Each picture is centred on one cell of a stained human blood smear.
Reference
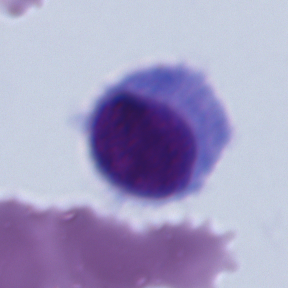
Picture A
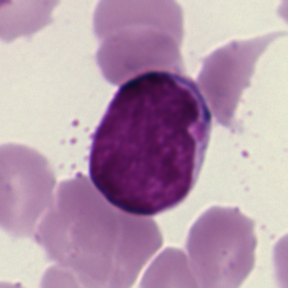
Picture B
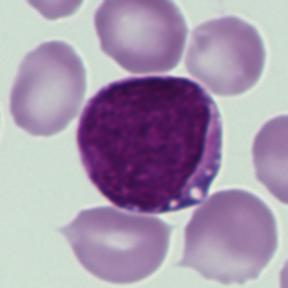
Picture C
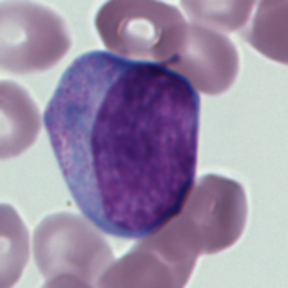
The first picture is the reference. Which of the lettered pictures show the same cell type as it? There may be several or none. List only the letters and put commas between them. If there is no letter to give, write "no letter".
no letter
